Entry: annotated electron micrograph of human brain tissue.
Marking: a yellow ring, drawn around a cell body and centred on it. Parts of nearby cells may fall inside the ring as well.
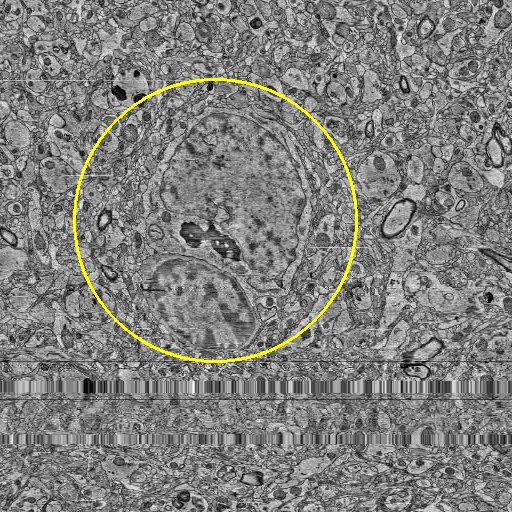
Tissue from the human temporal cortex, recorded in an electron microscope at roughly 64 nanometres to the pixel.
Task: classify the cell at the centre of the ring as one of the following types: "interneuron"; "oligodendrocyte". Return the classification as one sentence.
The marked cell is classified as an interneuron.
